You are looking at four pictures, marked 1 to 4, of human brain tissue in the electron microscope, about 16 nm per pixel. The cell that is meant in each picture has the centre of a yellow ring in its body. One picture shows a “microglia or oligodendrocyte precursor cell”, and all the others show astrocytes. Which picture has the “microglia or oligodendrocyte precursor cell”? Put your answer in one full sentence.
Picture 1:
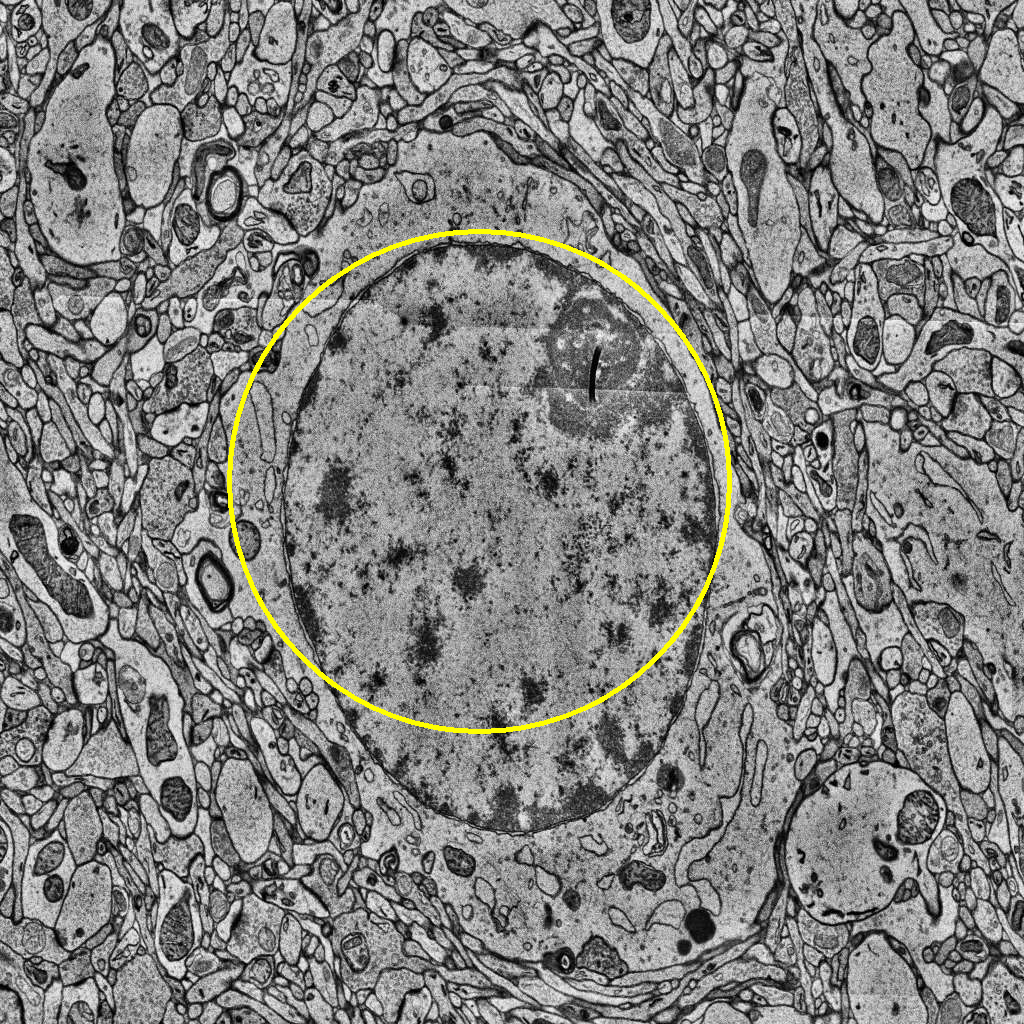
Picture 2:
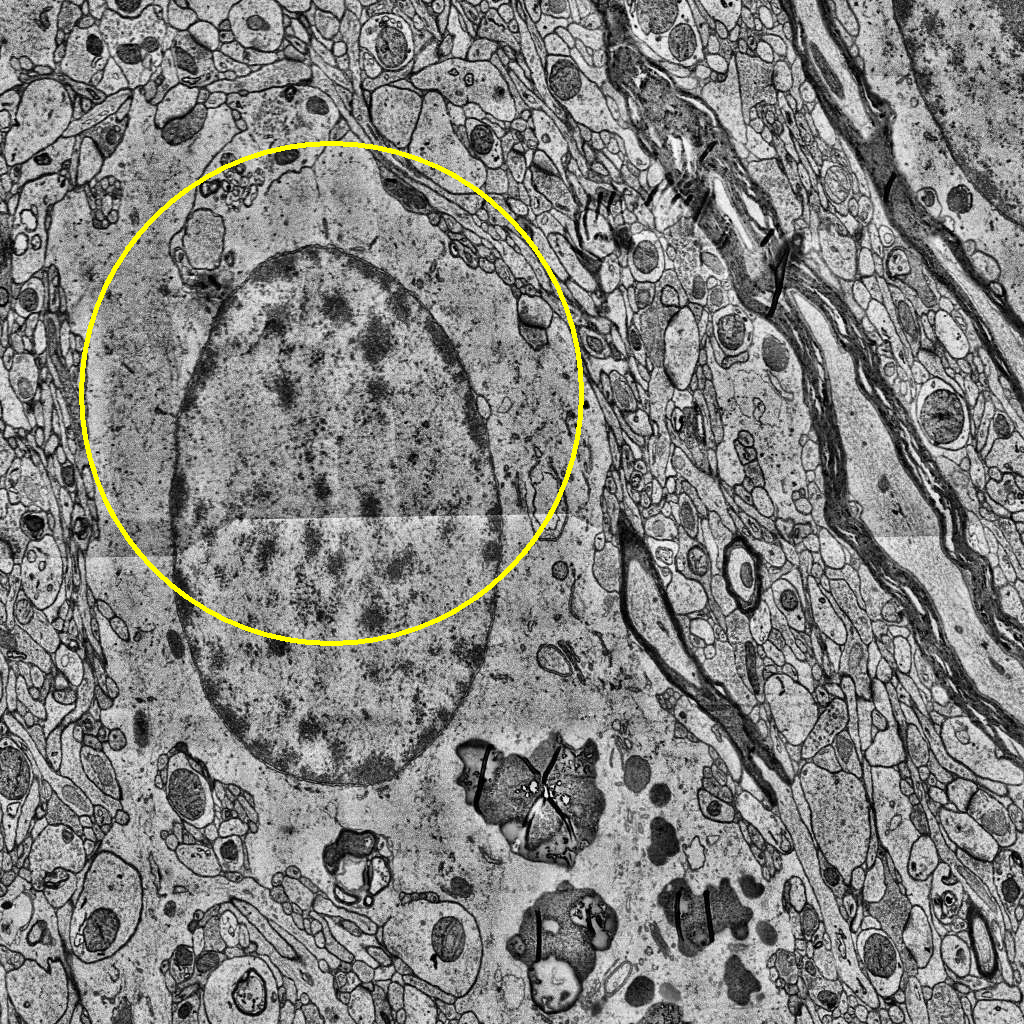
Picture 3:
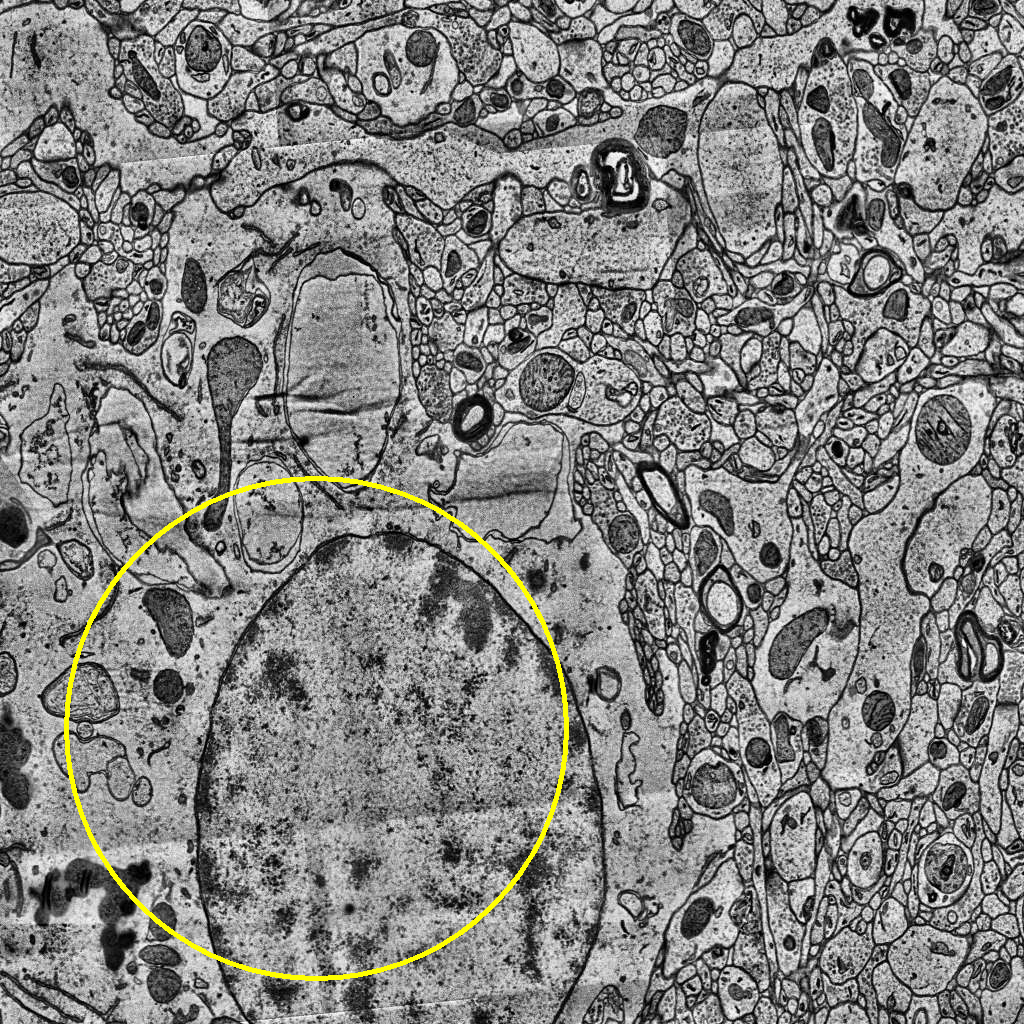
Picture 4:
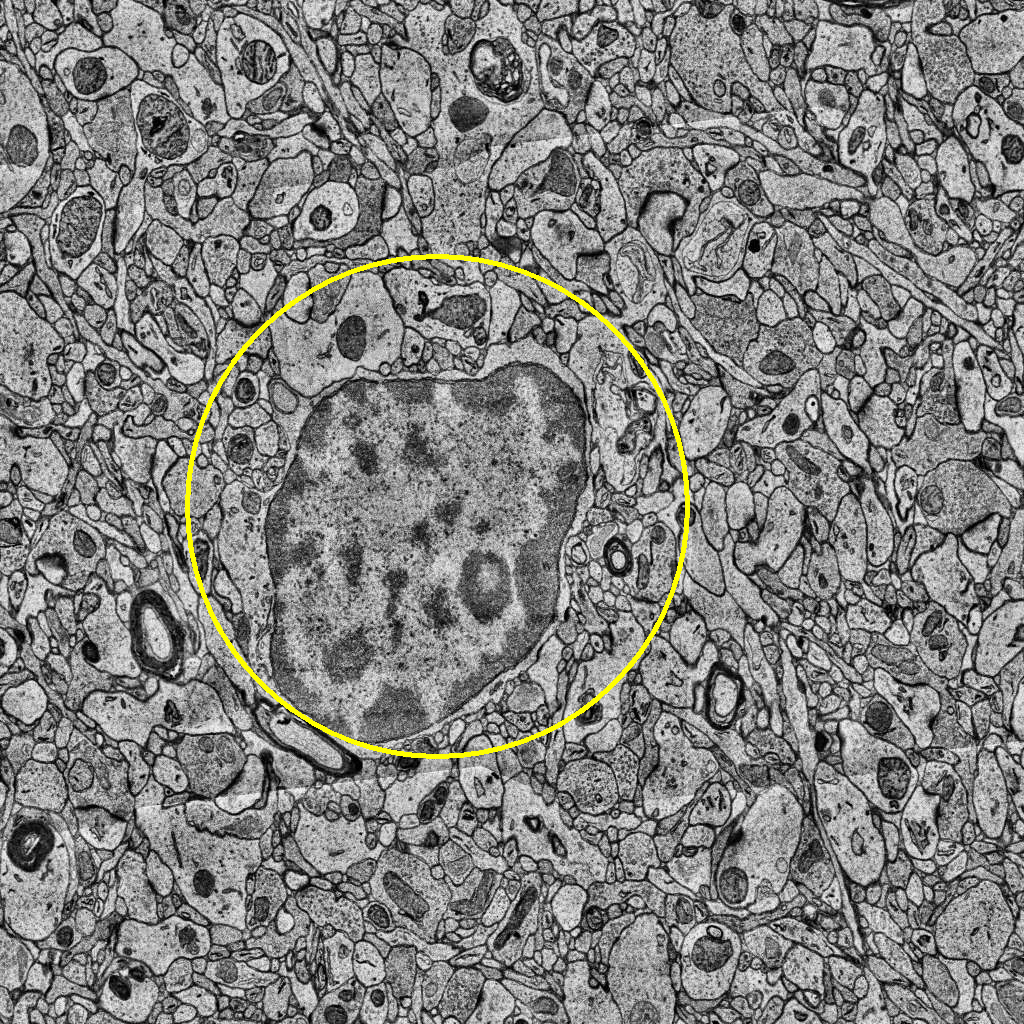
Picture 4 is the one that shows the “microglia or oligodendrocyte precursor cell”.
